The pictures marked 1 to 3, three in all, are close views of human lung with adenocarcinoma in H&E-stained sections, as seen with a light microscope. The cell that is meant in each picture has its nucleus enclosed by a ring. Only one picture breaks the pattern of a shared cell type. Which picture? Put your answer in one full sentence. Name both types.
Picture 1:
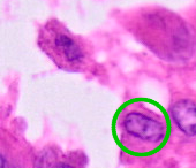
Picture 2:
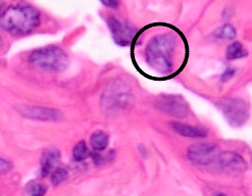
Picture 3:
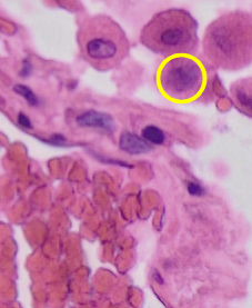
The different one is picture 2; it shows a carcinoma cell, whereas all the others show “macrophages or monocytes”.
